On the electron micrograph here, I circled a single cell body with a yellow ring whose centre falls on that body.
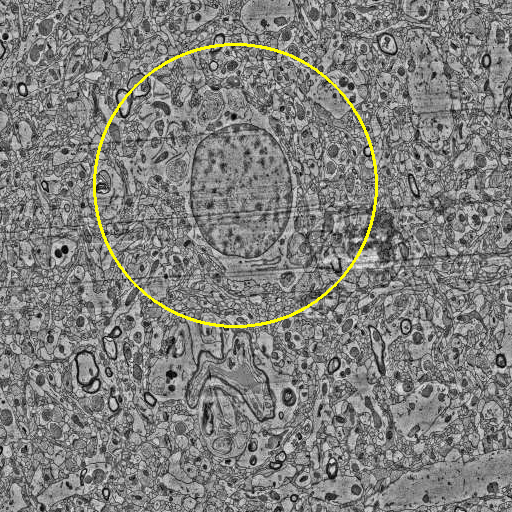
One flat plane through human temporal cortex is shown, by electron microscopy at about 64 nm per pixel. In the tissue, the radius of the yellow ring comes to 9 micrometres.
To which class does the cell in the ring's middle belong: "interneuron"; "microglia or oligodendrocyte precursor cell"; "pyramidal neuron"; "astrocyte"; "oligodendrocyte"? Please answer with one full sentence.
In this picture, the cell body circled at the ring's centre belongs to an astrocyte.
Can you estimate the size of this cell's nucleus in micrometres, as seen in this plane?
Roughly 8 micrometres by 6 micrometres, in this plane.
